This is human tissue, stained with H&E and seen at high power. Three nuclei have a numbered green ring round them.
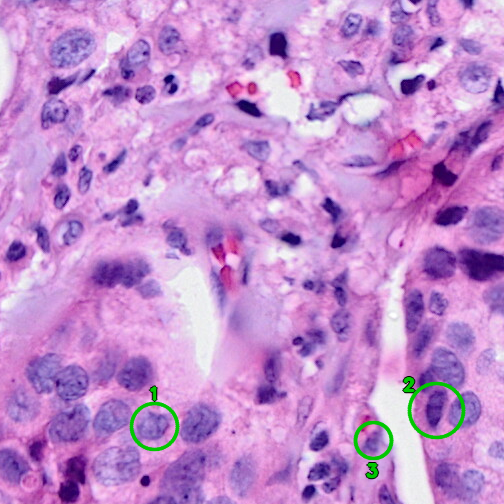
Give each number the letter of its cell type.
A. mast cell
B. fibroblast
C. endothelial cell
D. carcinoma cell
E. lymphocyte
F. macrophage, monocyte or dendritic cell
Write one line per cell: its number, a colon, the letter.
1: D
2: D
3: C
